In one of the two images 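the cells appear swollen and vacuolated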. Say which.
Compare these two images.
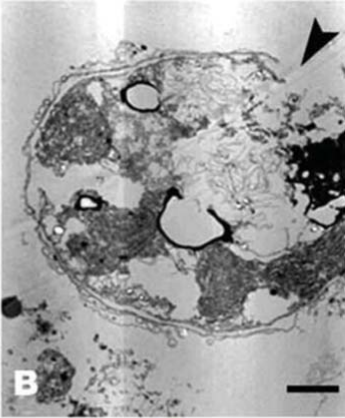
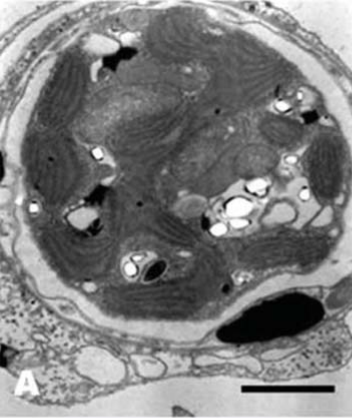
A: The first image.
